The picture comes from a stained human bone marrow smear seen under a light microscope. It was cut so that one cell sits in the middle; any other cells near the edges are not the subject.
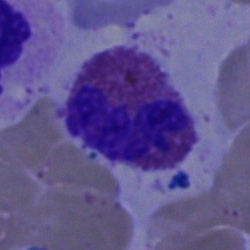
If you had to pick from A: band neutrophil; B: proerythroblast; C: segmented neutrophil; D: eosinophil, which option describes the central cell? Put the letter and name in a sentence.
Option D holds, for the cell in the middle is an eosinophil.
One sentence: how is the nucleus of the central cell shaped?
It is worth mentioning that the nucleus carries two or more lobes.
